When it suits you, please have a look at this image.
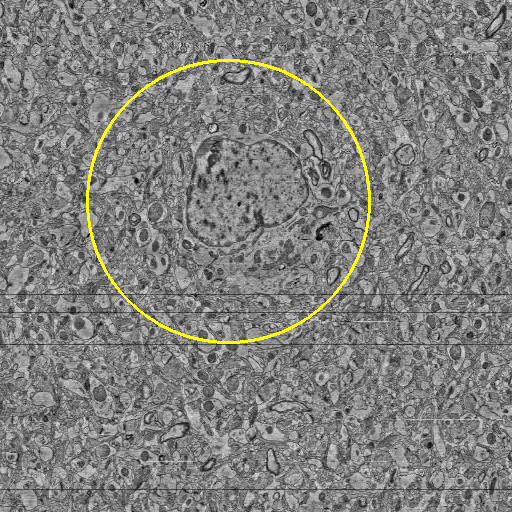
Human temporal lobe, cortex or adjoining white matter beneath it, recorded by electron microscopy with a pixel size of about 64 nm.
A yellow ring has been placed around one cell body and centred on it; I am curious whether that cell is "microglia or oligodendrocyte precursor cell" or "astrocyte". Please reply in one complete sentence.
The ringed cell, a microglial cell or oligodendrocyte precursor cell, has its body at the centre of the yellow ring.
